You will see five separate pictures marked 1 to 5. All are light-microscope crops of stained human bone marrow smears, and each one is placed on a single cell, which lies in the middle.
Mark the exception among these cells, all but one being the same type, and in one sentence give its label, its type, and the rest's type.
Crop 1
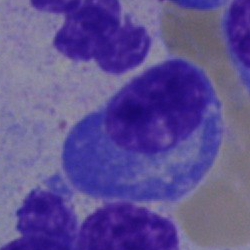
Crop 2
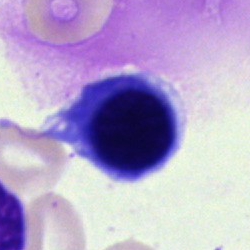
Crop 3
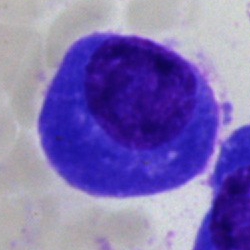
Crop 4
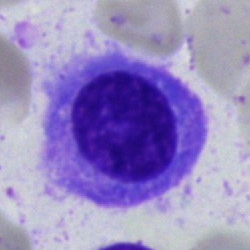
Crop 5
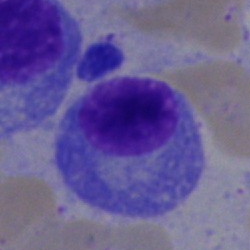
Crop 2 shows an erythroblast; by contrast, all the other crops show plasma cells.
